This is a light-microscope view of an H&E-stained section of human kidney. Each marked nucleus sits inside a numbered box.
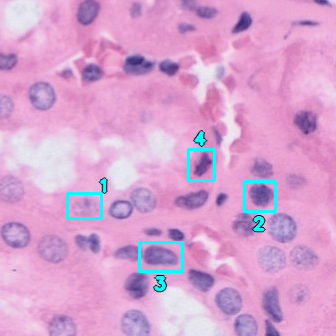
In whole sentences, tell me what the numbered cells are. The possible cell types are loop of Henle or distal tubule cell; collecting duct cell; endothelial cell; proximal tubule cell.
Cell 1 is a proximal tubule cell, cell 2 is a loop of Henle or distal tubule cell, cell 3 is a collecting duct cell and cell 4 is a proximal tubule cell.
